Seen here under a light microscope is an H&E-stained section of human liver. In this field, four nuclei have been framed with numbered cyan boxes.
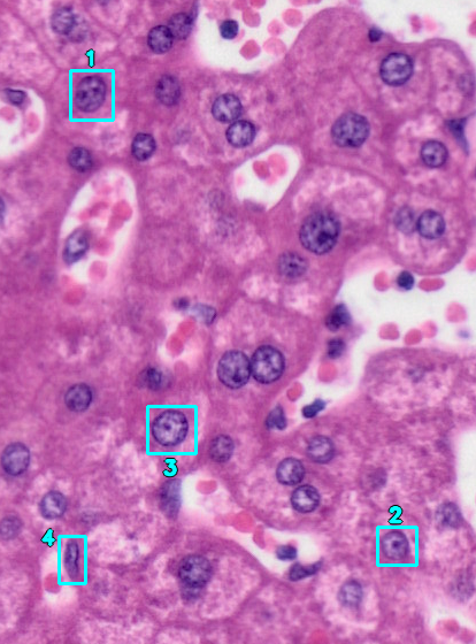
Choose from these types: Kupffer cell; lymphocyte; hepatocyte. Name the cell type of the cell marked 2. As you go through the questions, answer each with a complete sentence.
The cell to which the number 2 is assigned is a hepatocyte.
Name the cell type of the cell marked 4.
To a Kupffer cell belongs the nucleus marked 4.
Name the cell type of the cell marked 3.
The cell numbered 3 represents a hepatocyte.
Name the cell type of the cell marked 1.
The cell that bears the number 1 is a hepatocyte.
